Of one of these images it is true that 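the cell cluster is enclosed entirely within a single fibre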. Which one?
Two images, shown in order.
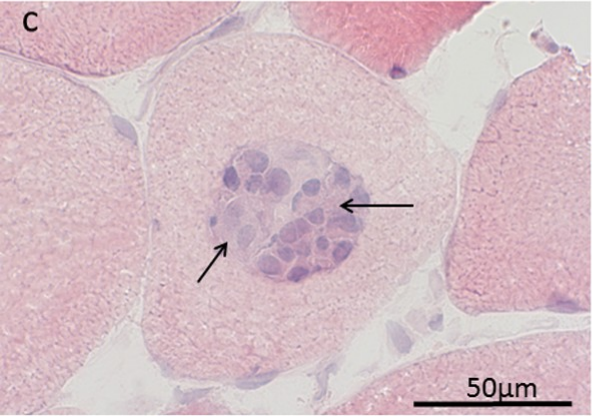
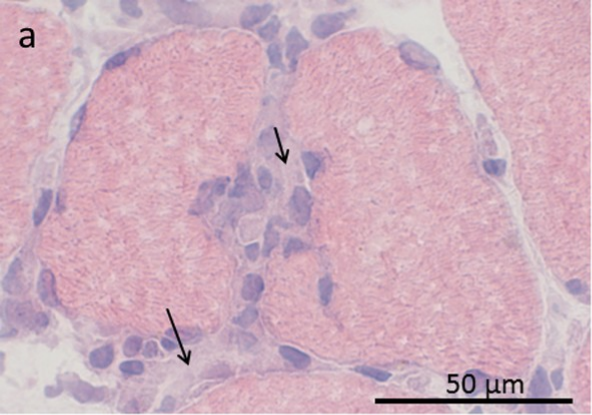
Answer: The first image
